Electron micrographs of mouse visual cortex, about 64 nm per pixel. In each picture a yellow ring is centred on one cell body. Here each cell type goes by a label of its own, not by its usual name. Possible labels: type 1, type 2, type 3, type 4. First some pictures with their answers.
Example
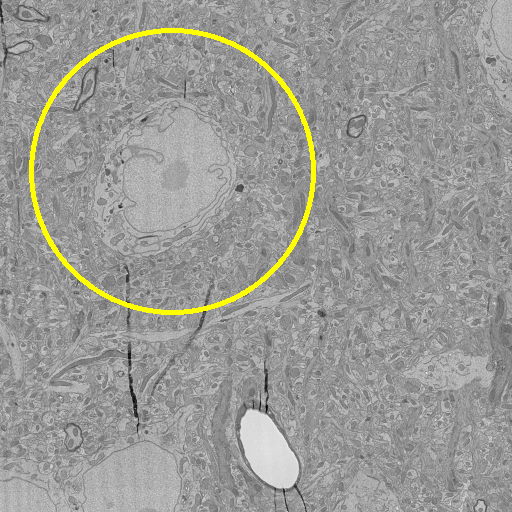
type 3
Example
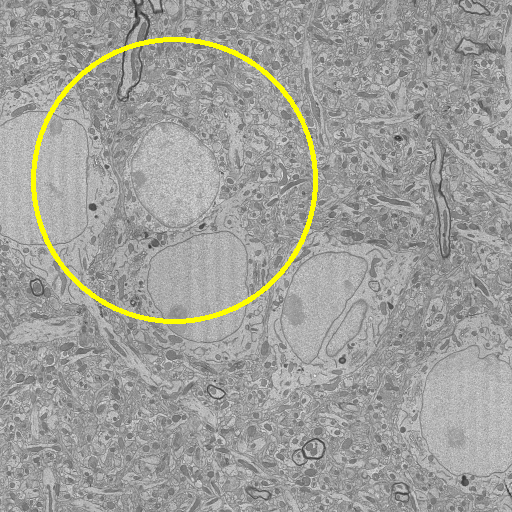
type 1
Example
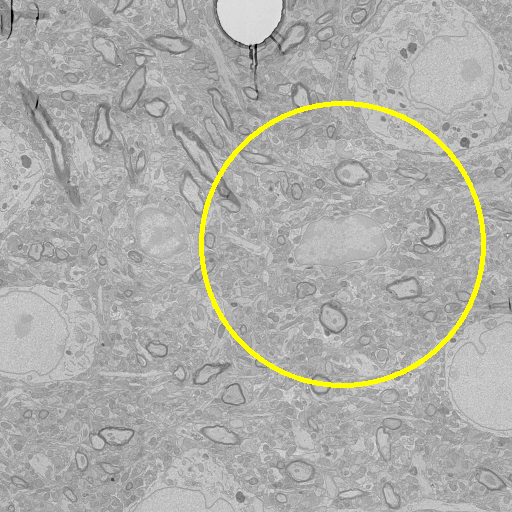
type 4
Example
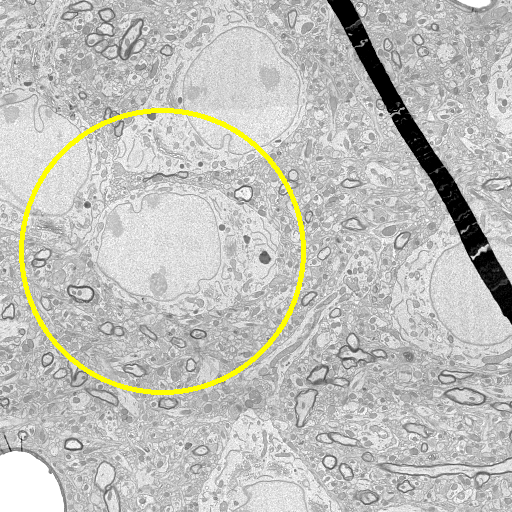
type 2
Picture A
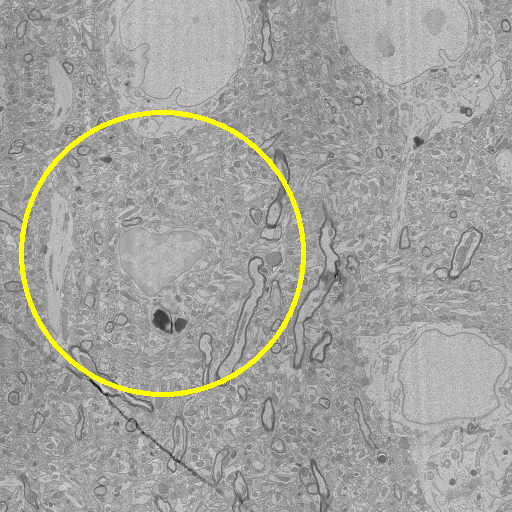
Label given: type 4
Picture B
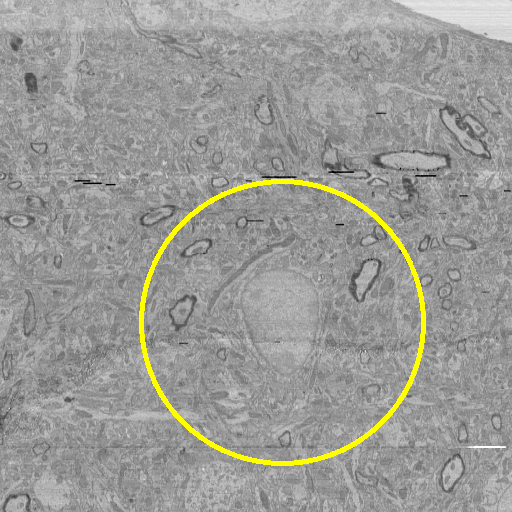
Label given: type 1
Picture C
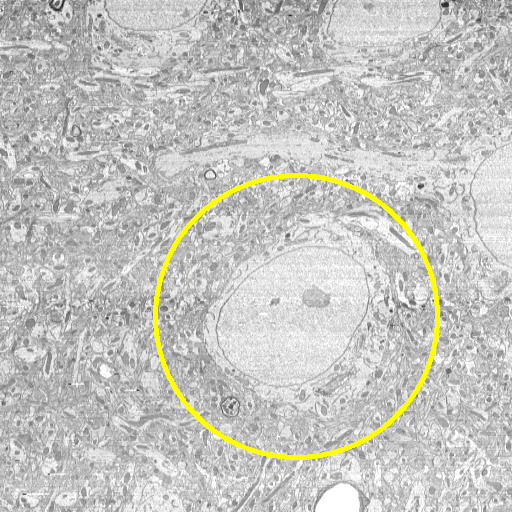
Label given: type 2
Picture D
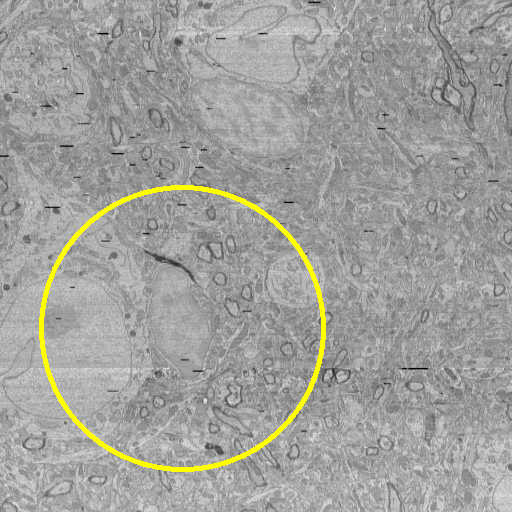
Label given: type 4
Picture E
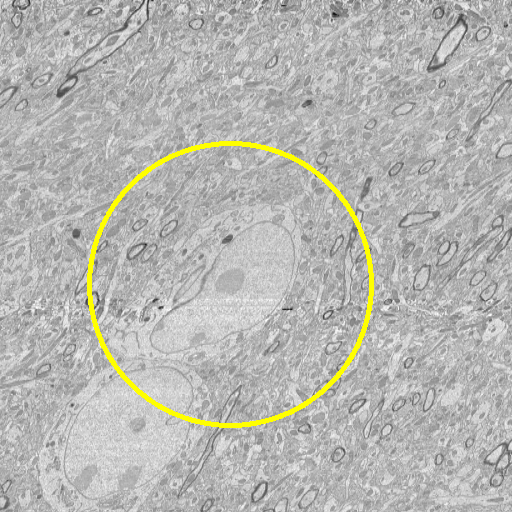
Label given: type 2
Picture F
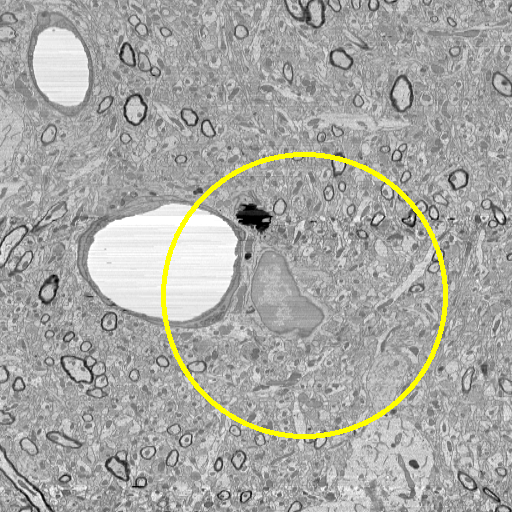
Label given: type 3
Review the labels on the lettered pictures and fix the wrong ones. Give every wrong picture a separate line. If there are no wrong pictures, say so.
F is labelled type 3; correct label: type 4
